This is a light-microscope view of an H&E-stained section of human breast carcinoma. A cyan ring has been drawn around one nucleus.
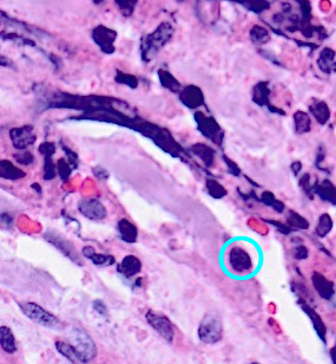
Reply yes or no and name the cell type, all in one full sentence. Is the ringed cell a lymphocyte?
Yes, within this tissue section, the ringed cell is a lymphocyte.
